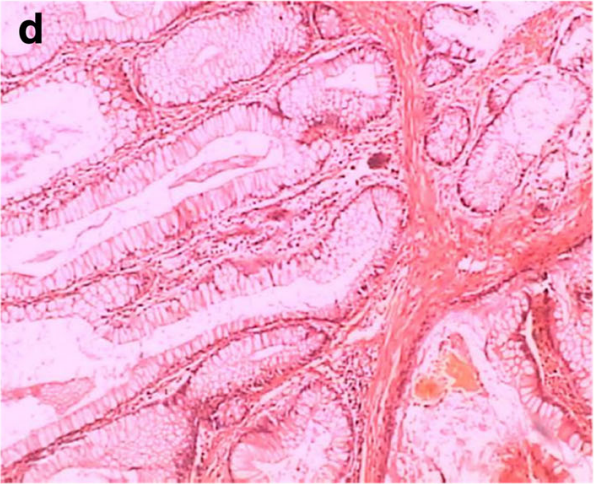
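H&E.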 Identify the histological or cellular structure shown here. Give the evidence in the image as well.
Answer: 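Dense, deep-pink fibrous bands run through the centre of the field. The pink bands branch and extend between groups of glands. The bands separate the glandular mucosa into lobules. On this evidence: branching bundles of smooth muscle fibers.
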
